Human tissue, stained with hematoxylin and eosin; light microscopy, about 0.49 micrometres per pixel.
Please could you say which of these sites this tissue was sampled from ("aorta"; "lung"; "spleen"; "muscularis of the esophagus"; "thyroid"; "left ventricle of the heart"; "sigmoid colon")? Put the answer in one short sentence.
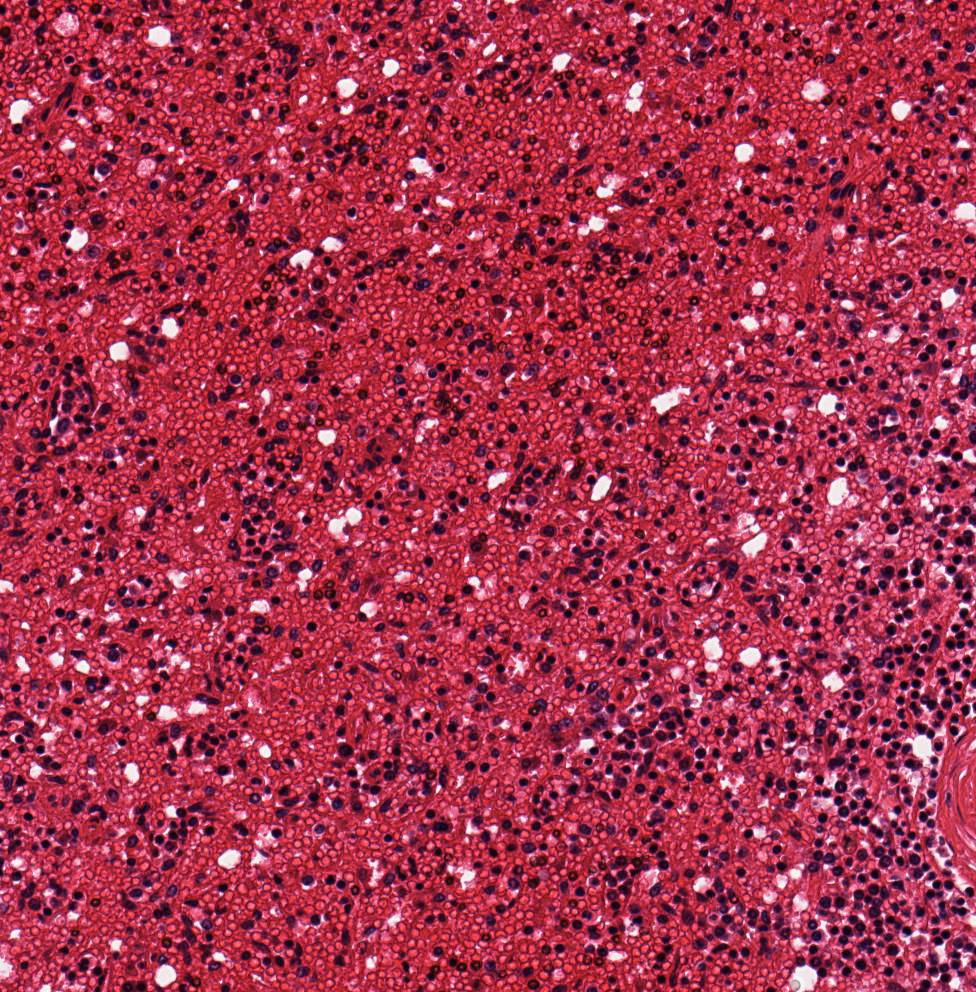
The site this tissue was sampled from is the spleen.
